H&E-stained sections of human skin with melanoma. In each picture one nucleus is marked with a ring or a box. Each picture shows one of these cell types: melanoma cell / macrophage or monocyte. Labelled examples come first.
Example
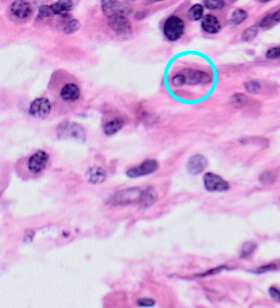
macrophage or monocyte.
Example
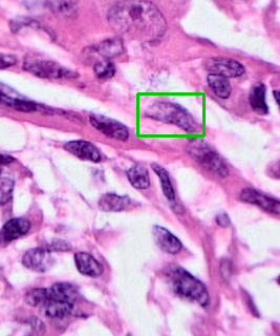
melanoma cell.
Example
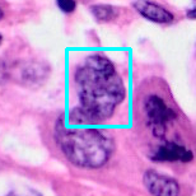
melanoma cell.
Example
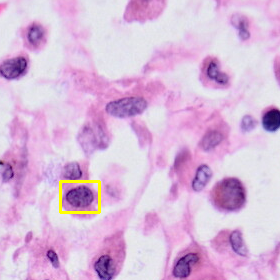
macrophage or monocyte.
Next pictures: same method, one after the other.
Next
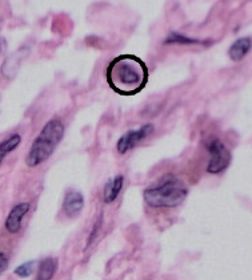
macrophage or monocyte.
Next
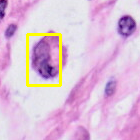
macrophage or monocyte.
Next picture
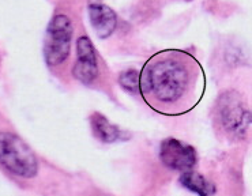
melanoma cell.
